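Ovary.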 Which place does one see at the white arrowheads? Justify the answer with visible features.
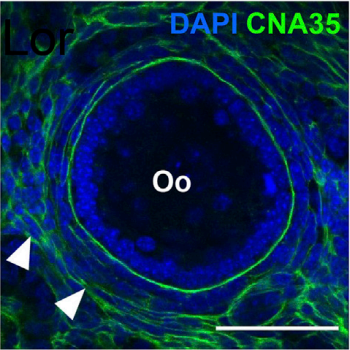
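The arrowheads point to a region outside the follicle. That region has scattered nuclei and a green fibrous network between them. The answer: interstitial tissue.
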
